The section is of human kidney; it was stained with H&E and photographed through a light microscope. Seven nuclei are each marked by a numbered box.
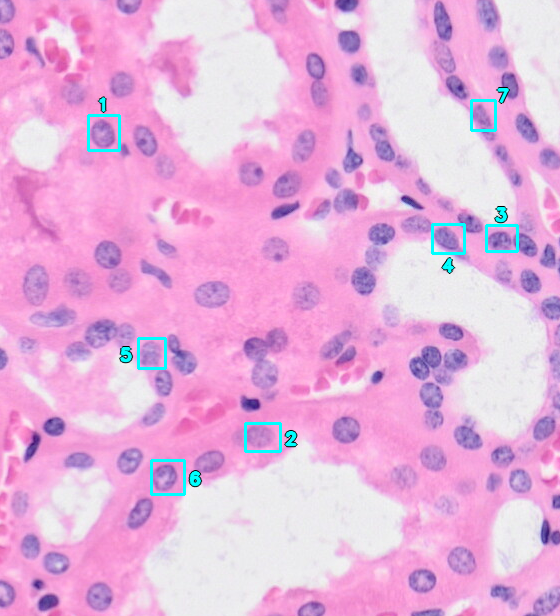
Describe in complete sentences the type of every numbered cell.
Cells 1, 2 and 6 are proximal tubule cells. Cells 3, 4, 5 and 7 are collecting duct cells.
